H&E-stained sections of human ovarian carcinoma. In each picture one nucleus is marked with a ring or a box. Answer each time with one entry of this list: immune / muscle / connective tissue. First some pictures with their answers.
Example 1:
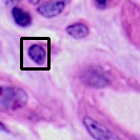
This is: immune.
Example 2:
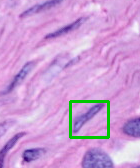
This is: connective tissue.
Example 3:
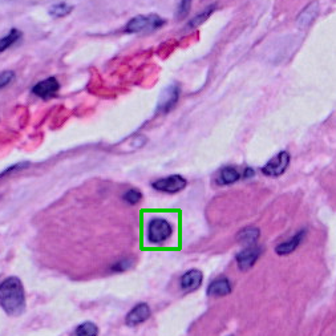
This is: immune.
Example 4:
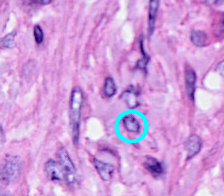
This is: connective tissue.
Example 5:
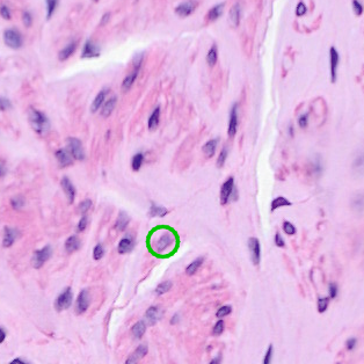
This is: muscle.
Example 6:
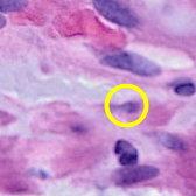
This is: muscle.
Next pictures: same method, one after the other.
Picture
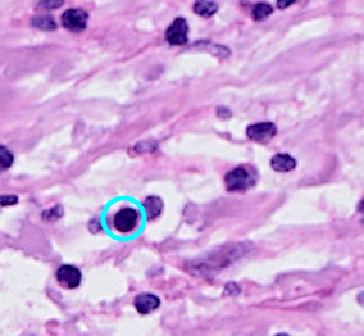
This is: immune.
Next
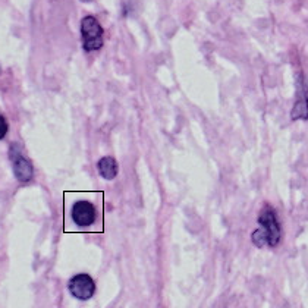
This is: immune.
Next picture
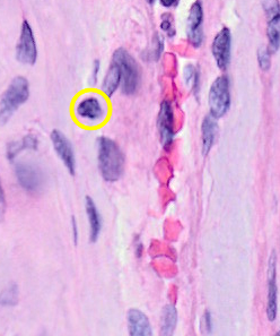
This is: immune.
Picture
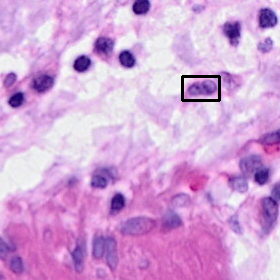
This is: immune.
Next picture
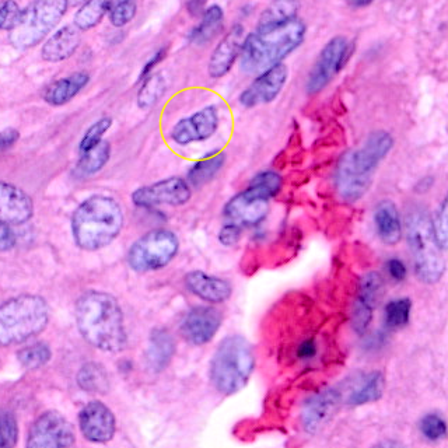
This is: immune.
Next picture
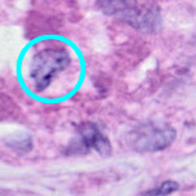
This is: immune.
